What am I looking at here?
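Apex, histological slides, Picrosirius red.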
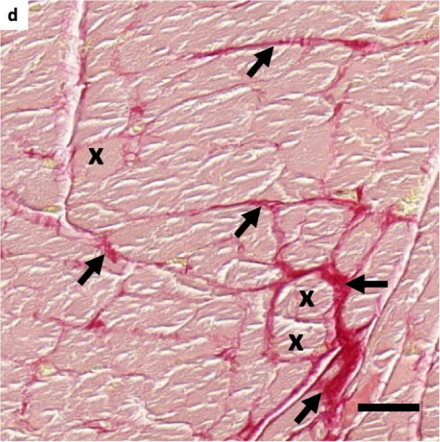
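Cardiac muscle is seen partly in cross section and partly obliquely, with myocytes as pale pink fibres and rounded profiles. Toward the lower right the red strands converge into a thicker band that encircles a few cross-sectioned myocytes. Narrow clear clefts separate many of the fibres.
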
